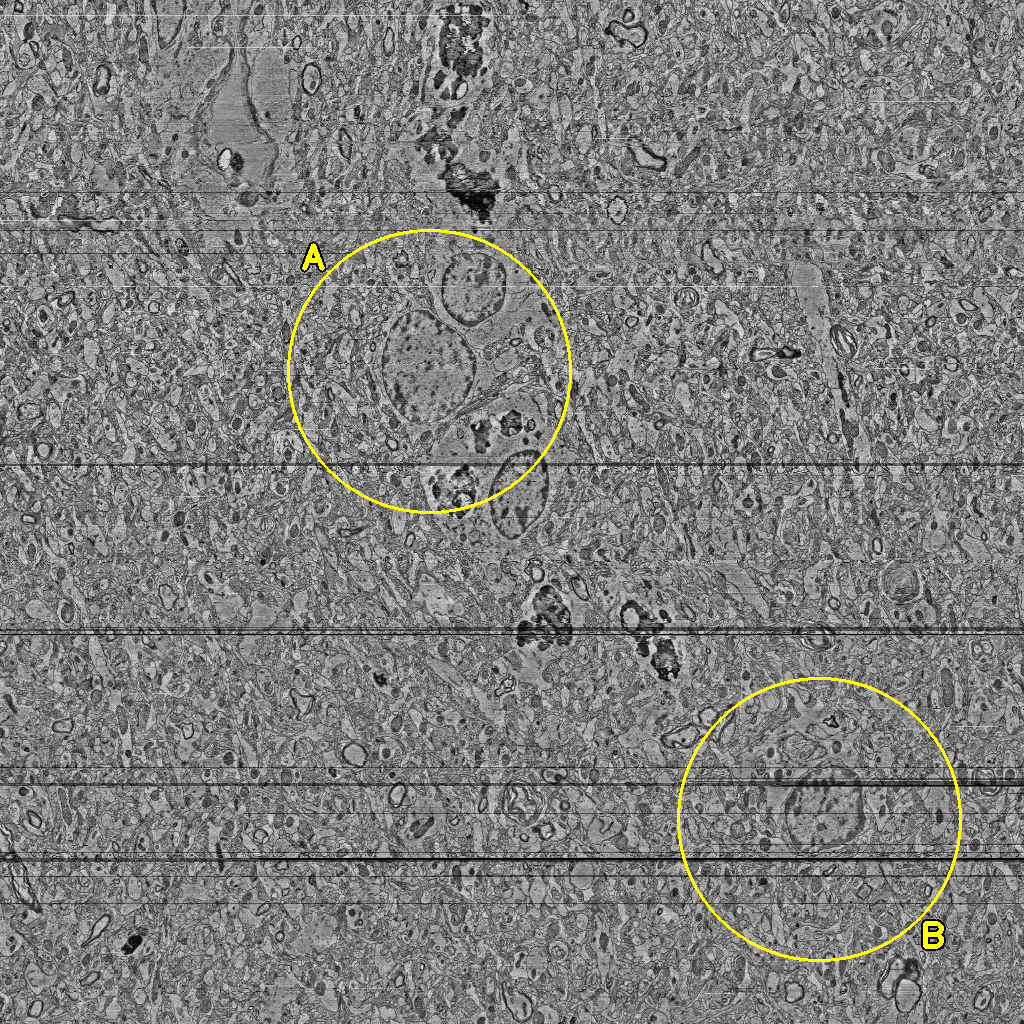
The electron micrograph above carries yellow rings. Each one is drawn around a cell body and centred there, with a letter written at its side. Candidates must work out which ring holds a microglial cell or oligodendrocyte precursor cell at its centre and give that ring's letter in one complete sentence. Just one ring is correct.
Letter B marks the ring whose centre holds that kind of cell.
